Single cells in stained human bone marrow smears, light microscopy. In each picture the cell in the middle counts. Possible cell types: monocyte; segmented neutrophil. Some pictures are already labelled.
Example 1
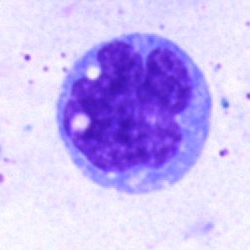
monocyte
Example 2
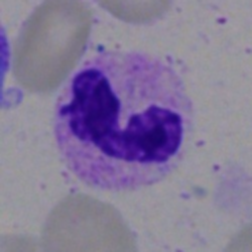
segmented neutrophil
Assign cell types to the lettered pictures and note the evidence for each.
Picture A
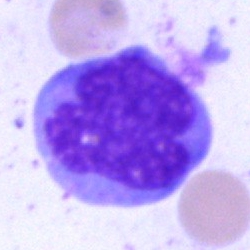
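monocyte. Evidence: The nucleus fills most of the cell and sits toward the upper right.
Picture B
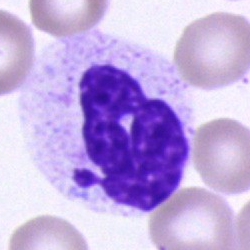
segmented neutrophil. Evidence: The cytoplasm is plentiful and pale lilac.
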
